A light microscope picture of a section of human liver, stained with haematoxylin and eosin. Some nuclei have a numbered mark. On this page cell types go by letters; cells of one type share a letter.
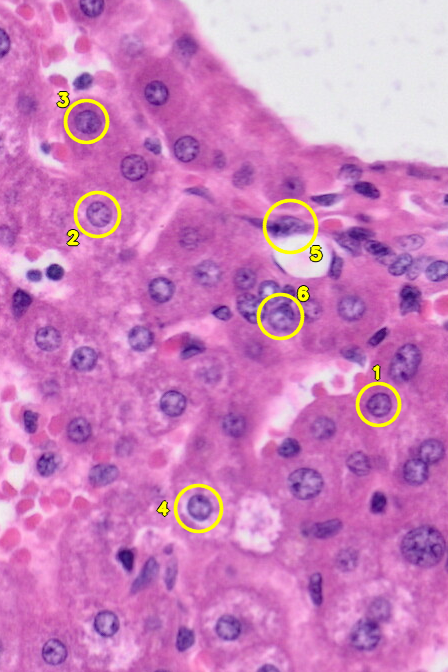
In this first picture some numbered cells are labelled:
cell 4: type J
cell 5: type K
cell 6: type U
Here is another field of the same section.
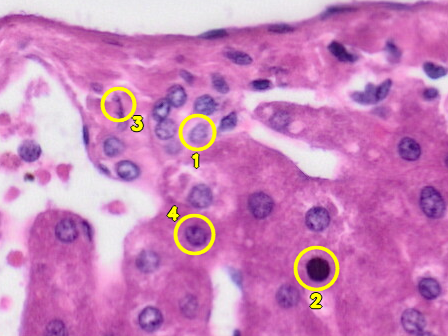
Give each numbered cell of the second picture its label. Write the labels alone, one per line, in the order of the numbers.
type U
type J
type K
type J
